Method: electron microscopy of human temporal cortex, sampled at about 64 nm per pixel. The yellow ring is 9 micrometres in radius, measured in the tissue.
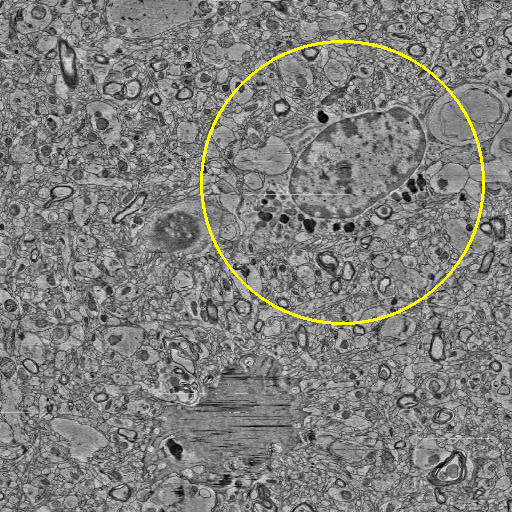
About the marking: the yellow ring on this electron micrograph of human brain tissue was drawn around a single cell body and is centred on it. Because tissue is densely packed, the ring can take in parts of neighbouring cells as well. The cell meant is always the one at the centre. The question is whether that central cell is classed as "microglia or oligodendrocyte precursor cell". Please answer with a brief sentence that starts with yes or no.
Yes, the central cell is classed that way.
